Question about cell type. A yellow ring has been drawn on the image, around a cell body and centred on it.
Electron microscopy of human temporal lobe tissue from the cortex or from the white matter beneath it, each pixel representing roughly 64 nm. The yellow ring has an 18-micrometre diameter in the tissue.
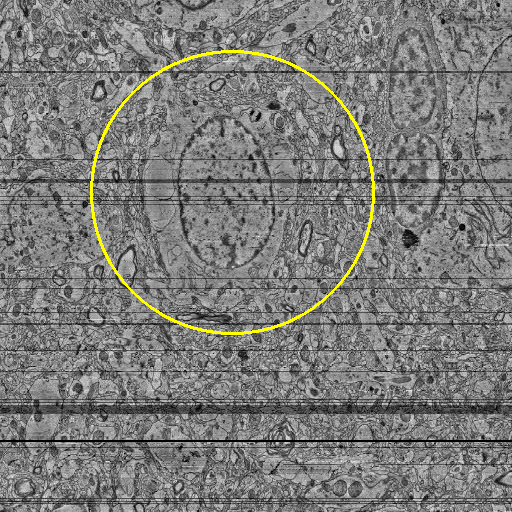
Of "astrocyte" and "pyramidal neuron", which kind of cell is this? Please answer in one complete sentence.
At the centre of the ring lies an astrocyte.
